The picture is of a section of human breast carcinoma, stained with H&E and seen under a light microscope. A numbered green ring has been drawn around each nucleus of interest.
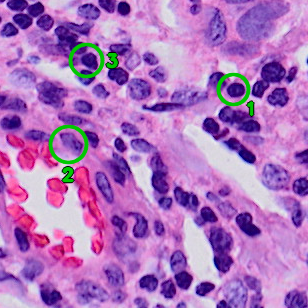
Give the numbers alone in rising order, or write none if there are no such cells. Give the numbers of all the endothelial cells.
2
